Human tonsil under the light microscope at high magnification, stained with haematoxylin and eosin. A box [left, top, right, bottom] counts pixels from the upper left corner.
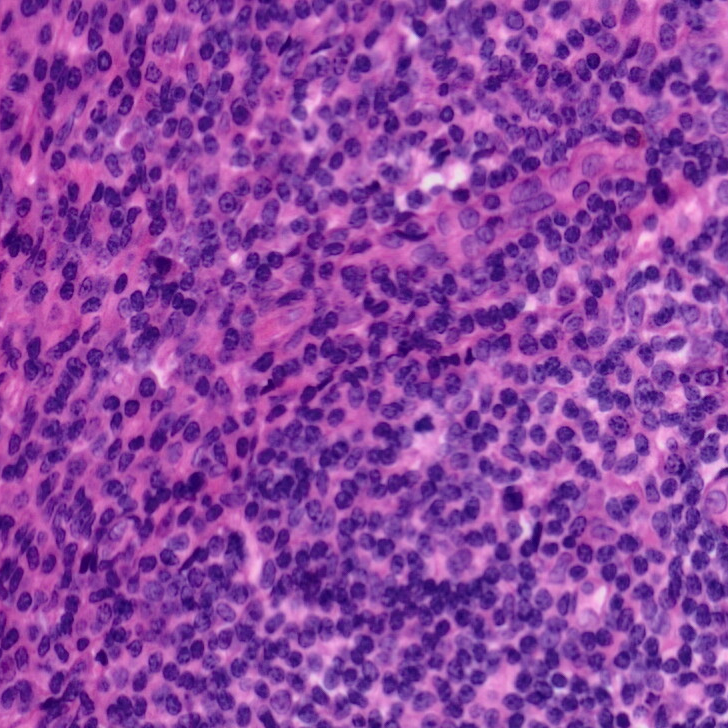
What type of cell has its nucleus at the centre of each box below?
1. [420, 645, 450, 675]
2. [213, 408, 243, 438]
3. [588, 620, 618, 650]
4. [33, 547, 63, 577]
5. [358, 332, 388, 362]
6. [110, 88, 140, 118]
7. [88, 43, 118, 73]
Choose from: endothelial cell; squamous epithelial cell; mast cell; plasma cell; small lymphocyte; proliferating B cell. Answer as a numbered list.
1. small lymphocyte
2. plasma cell
3. small lymphocyte
4. plasma cell
5. small lymphocyte
6. plasma cell
7. plasma cell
